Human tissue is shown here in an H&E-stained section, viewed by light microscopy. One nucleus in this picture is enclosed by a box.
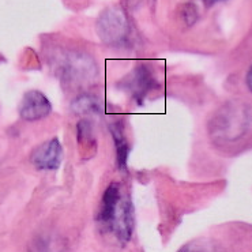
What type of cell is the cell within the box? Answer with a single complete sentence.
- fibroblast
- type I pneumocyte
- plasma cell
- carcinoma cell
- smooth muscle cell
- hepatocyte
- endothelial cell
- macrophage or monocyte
Recorded by type, the cell within the box is a carcinoma cell.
